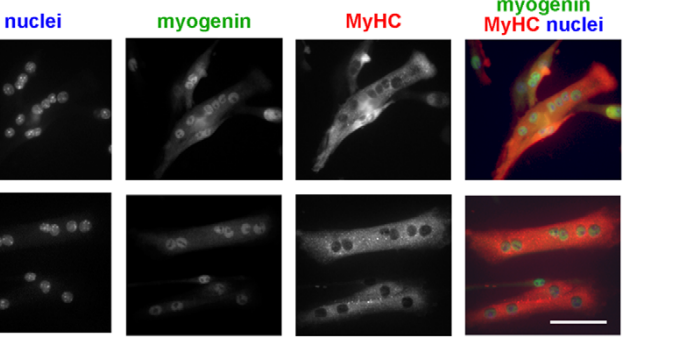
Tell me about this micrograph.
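These are differentiated muscle cells in culture, seen as elongated myotubes lying side by side. Each myotube is a long, spindle-to-tube-shaped cell whose cytoplasm is filled with red stain. Several oval nuclei sit in a row along the middle of each tube, appearing as dark holes in the red cytoplasm and as rounded blobs in the nuclear channel. A few nuclei lie outside the tubes, between the cells.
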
